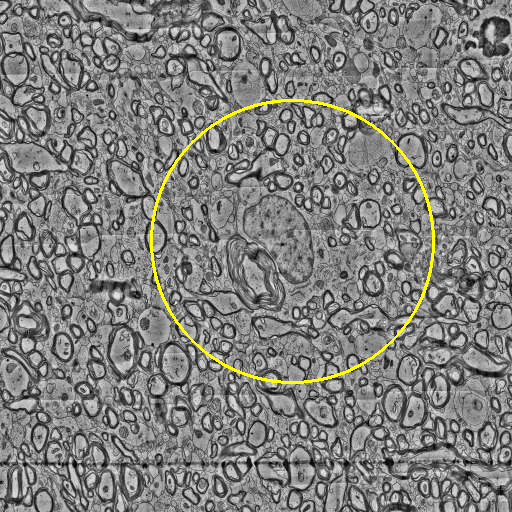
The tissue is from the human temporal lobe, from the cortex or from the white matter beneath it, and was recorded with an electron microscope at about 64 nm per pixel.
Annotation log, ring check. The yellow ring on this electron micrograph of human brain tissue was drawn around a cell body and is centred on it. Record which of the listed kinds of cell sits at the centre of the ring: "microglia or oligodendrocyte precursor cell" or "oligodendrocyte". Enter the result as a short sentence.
The cell at the centre of the ring is a microglial cell or oligodendrocyte precursor cell.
